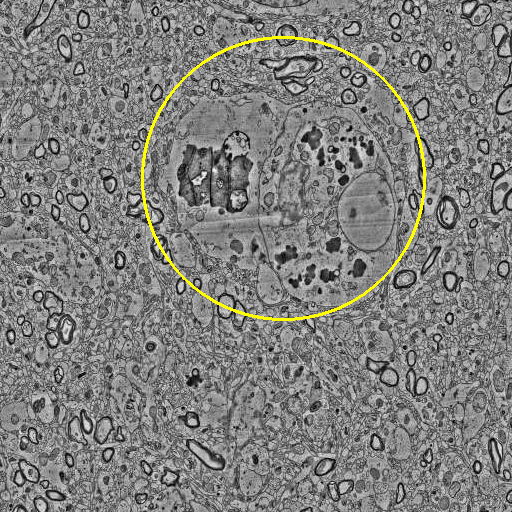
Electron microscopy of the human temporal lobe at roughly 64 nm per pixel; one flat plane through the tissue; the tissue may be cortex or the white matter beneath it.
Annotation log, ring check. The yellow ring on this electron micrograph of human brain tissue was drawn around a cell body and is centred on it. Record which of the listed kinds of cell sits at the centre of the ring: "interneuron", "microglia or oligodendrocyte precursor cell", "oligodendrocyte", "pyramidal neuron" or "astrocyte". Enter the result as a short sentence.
The cell at the centre of the ring is an interneuron.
